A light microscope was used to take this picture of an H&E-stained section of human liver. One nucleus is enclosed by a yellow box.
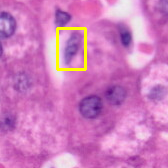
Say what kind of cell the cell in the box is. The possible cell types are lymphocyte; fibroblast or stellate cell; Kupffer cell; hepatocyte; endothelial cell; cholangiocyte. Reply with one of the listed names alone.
Kupffer cell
